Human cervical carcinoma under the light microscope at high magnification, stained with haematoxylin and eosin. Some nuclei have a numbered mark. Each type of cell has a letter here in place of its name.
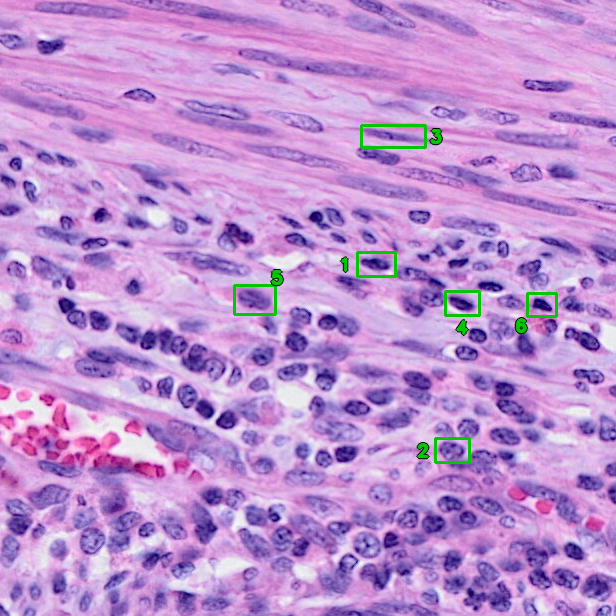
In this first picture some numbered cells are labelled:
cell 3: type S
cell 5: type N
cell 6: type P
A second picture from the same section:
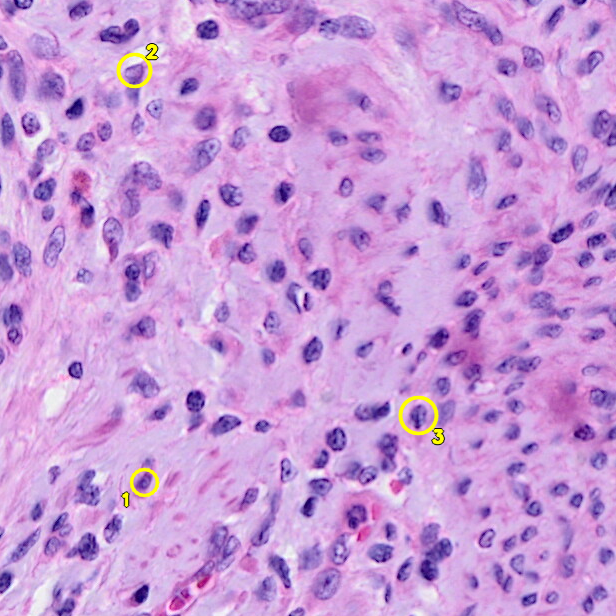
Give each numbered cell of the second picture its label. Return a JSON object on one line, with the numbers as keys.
{"1": "type S", "2": "type N", "3": "type P"}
